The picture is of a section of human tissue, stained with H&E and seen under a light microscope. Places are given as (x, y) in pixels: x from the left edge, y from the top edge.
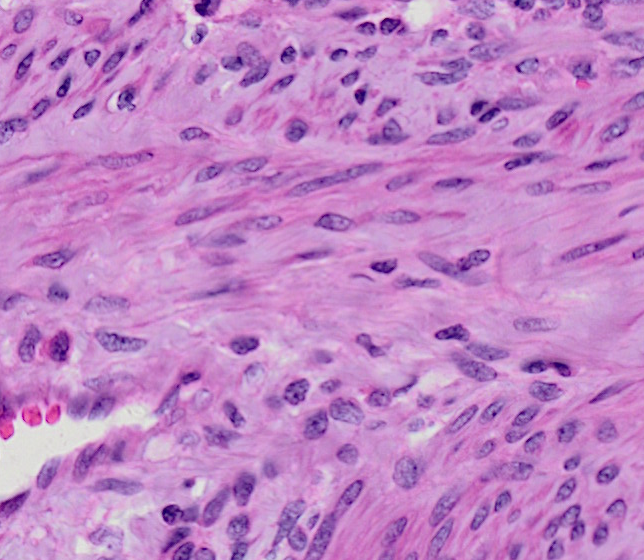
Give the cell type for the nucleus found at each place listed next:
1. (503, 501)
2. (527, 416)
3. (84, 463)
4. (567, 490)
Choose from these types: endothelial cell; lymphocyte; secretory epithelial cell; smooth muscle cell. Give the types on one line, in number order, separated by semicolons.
smooth muscle cell; smooth muscle cell; endothelial cell; smooth muscle cell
